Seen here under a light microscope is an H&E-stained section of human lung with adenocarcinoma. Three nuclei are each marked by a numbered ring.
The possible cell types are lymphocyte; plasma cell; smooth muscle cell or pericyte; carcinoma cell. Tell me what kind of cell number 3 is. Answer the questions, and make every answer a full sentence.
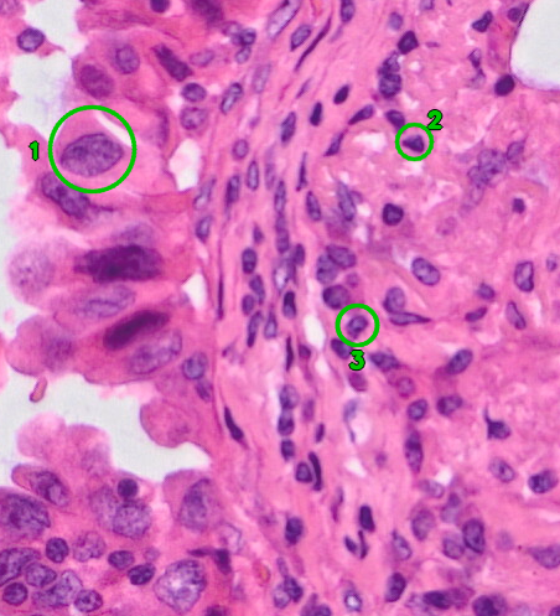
Among the marked nuclei, number 3 belongs to a lymphocyte.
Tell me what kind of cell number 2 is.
The cell pointed out by number 2 is a lymphocyte.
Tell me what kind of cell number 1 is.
The mark numbered 1 indicates the nucleus of a carcinoma cell.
